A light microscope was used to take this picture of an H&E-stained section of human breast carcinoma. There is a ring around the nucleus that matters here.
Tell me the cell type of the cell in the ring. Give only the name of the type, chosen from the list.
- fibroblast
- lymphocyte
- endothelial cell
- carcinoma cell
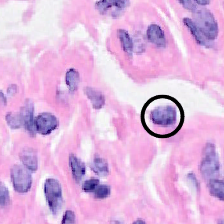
lymphocyte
